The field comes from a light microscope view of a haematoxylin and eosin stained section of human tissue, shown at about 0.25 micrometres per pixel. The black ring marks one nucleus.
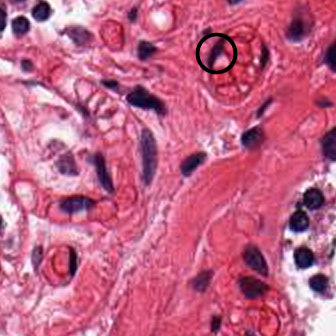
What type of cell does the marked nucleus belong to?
endothelial cell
